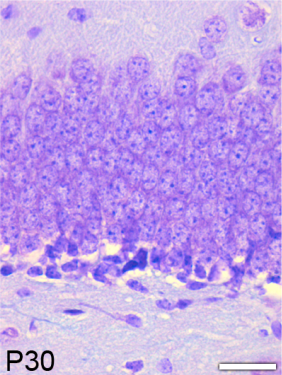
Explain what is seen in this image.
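Granule cell layer of the dentate gyrus stained in purple. Small round neurons are densely packed in a thick, orderly layer; each has a round pale nucleus with one or more dark nucleoli and a narrow rim of purple cytoplasm. At the lower border of the layer some cells are smaller and stain darker. Below the layer lies pale, sparsely cellular tissue with a few elongated and round nuclei scattered through it.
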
